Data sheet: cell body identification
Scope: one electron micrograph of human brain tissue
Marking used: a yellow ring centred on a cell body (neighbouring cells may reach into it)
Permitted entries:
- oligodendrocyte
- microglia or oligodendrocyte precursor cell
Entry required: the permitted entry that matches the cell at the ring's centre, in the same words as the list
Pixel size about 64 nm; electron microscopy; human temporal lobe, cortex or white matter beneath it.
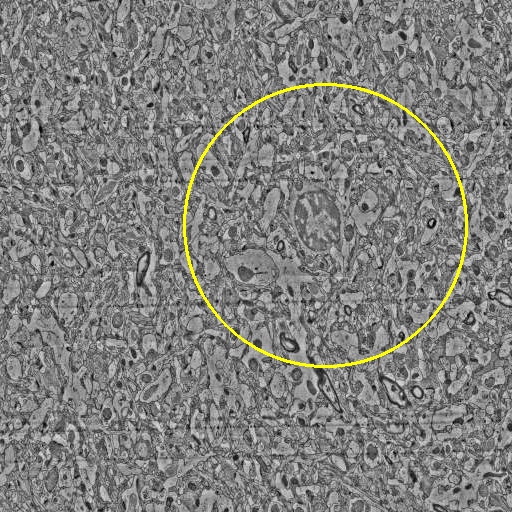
oligodendrocyte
